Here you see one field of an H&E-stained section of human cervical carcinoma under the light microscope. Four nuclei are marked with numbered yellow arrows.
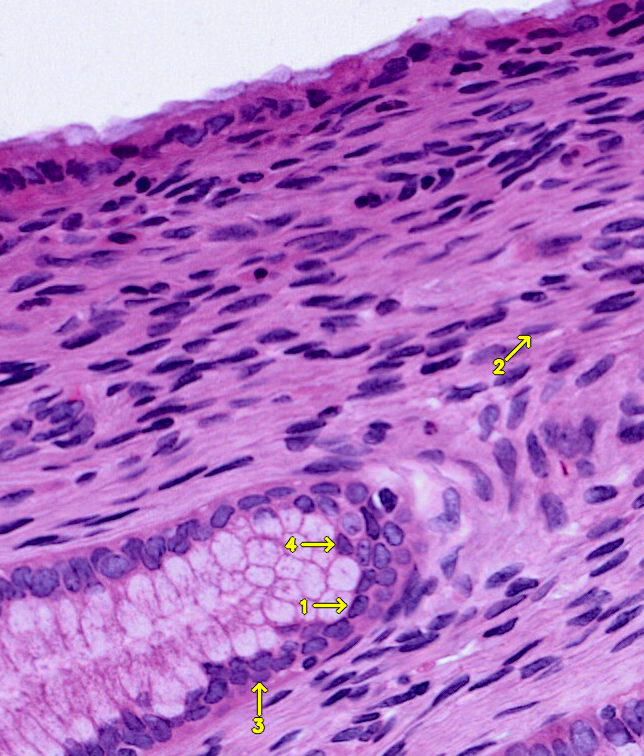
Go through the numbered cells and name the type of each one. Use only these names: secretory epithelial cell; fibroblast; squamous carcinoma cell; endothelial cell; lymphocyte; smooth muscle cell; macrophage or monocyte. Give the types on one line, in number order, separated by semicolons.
secretory epithelial cell; fibroblast; secretory epithelial cell; secretory epithelial cell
